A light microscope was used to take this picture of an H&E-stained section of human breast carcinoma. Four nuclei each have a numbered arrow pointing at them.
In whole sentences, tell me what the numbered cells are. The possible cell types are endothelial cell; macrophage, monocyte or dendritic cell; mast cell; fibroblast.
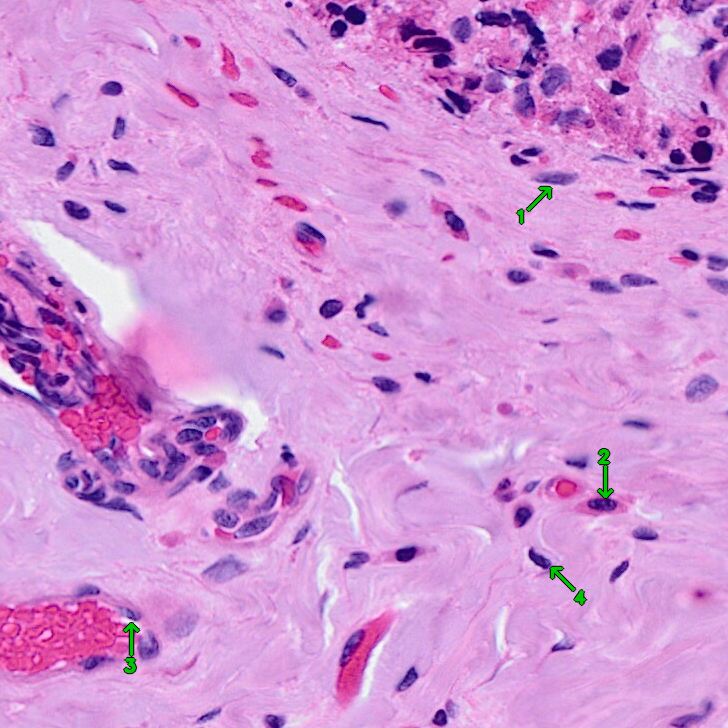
Cells 1 and 4 are fibroblasts. Cell 2 is a mast cell. Cell 3 is an endothelial cell.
